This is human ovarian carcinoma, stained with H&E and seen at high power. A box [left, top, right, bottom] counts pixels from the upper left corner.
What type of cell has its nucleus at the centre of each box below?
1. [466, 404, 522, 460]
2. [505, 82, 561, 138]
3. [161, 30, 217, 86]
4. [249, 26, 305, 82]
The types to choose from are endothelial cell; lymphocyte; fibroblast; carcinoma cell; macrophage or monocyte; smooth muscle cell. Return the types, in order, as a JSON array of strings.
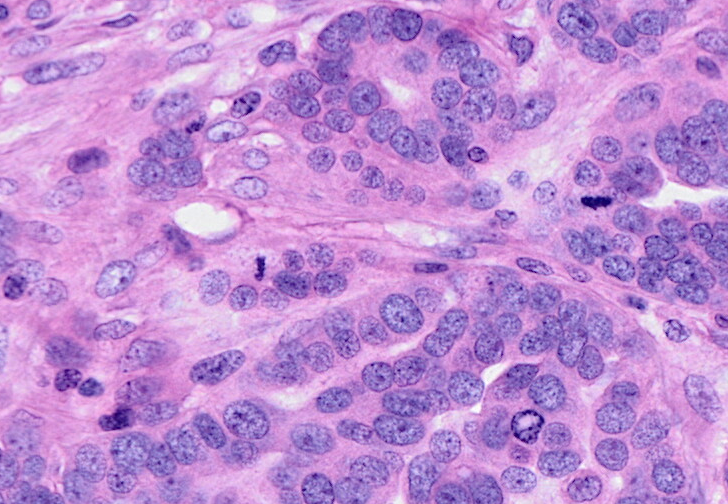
["carcinoma cell", "fibroblast", "fibroblast", "macrophage or monocyte"]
